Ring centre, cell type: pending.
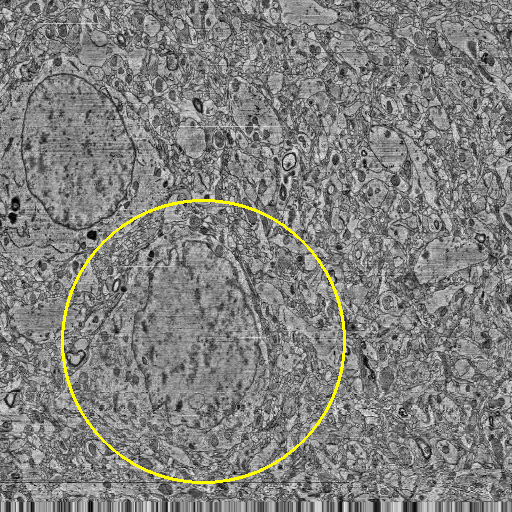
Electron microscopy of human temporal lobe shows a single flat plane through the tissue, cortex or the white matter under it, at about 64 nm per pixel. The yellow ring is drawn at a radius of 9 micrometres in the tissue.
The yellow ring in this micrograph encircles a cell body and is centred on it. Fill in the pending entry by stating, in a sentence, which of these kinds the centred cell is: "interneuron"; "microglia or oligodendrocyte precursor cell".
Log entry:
The centred cell is recorded as an interneuron.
